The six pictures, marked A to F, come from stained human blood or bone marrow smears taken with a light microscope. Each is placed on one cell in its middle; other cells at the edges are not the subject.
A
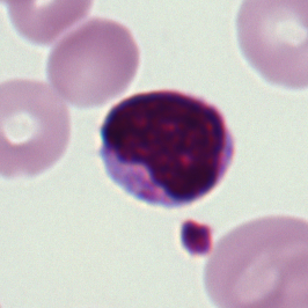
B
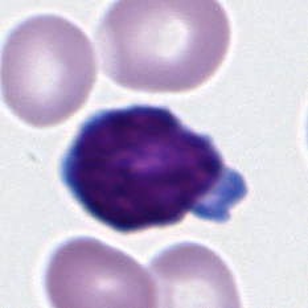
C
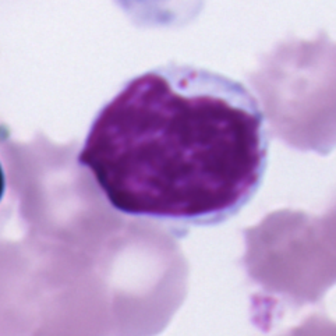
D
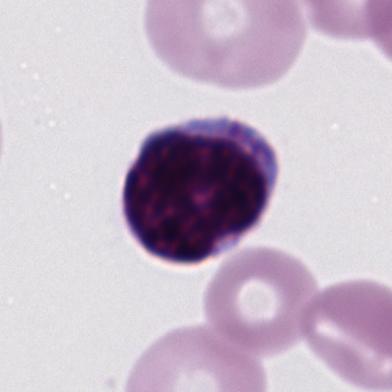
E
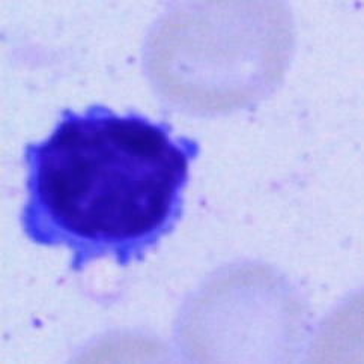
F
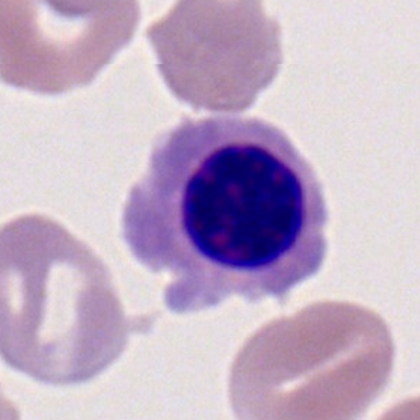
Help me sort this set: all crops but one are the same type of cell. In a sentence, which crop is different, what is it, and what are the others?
In every crop except crop F, which shows an erythroblast, lymphocytes are shown.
